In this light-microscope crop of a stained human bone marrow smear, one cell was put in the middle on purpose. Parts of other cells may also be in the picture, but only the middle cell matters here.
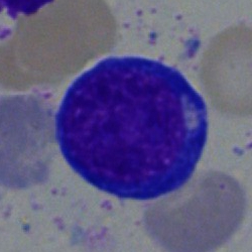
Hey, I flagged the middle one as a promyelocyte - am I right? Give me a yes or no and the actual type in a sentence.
No, the central cell is properly termed a proerythroblast, not a promyelocyte.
